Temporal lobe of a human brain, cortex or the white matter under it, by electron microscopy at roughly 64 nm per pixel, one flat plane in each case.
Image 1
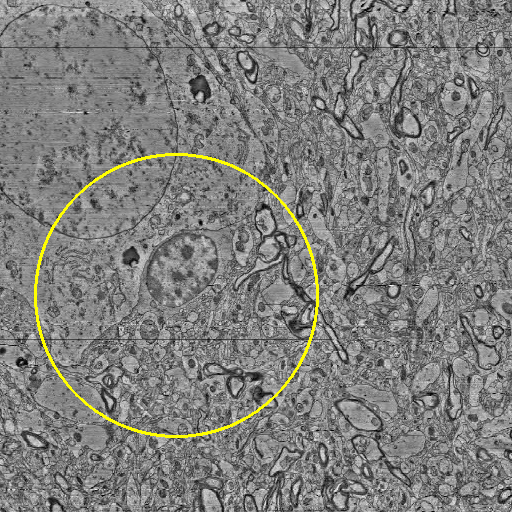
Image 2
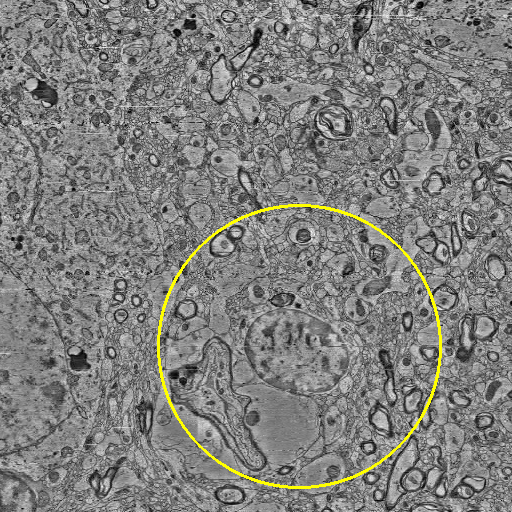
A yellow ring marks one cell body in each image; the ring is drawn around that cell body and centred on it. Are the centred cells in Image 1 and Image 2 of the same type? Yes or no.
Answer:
no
